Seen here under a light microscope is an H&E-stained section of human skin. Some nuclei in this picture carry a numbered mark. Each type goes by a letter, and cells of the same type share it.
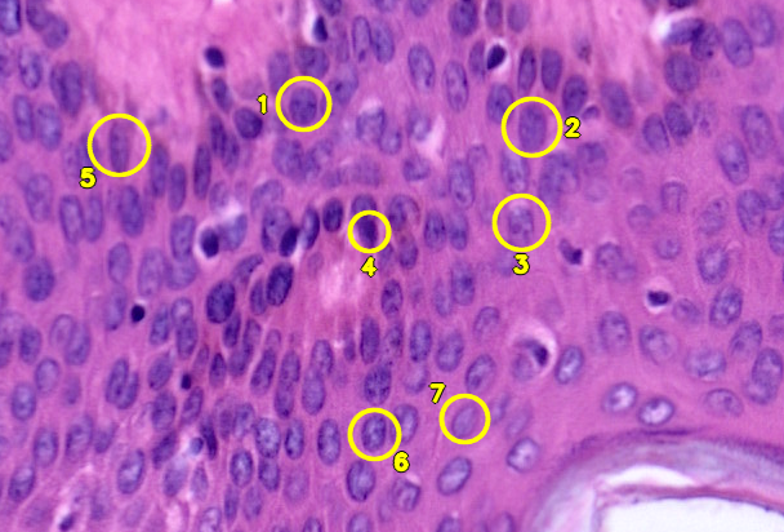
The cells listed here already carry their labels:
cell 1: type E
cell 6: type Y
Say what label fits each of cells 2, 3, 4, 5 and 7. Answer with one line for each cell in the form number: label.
2: type E
3: type Y
4: type E
5: type E
7: type Y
